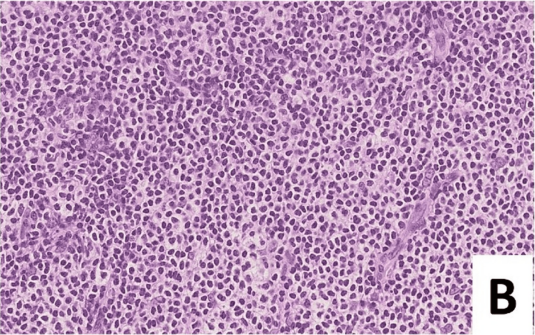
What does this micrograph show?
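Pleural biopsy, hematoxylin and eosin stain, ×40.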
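Dense sheet of small- to medium-sized lymphoid tumor cells filling the field. Nuclei are round to slightly irregular, darkly stained, with scant pale cytoplasm; cells lie closely packed with little intervening stroma. Nuclear atypia is mild. A few thin, pink, elongated vessel walls with spindle-shaped nuclei cross the sheet. No follicles or nodular arrangement are formed; the infiltrate is diffuse and monotonous throughout.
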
